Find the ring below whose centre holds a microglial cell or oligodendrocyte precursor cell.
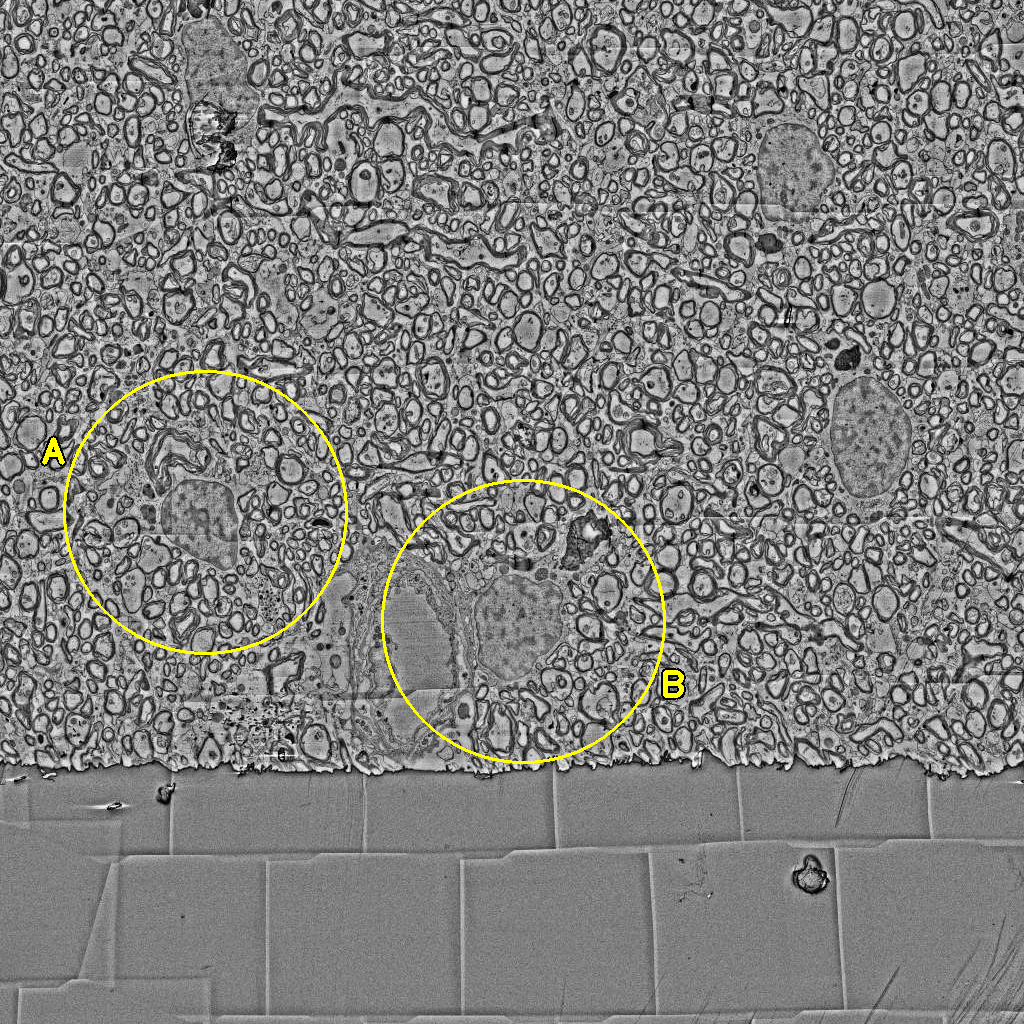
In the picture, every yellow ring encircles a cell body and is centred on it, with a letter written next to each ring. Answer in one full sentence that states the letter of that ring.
The ring centred on the cell asked for in the picture carries the letter A.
